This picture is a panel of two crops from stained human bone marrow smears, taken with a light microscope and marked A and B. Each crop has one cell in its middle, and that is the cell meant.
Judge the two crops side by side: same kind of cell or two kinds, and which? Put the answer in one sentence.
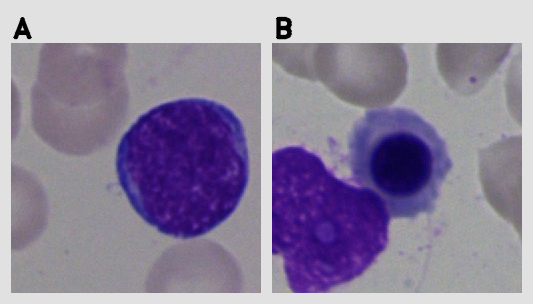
No, crop A shows a blast, and the cell in crop B is an erythroblast.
